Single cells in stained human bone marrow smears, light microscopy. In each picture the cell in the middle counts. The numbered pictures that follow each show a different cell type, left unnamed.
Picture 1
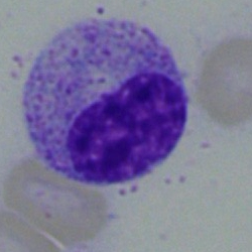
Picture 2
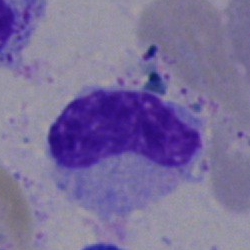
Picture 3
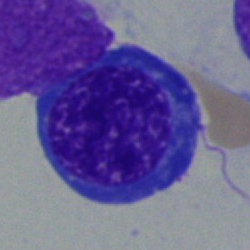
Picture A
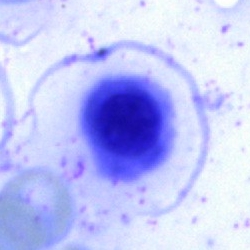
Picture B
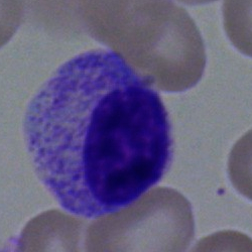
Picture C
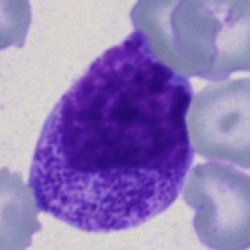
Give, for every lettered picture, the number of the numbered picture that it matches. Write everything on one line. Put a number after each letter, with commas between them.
A 3, B 1, C 1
